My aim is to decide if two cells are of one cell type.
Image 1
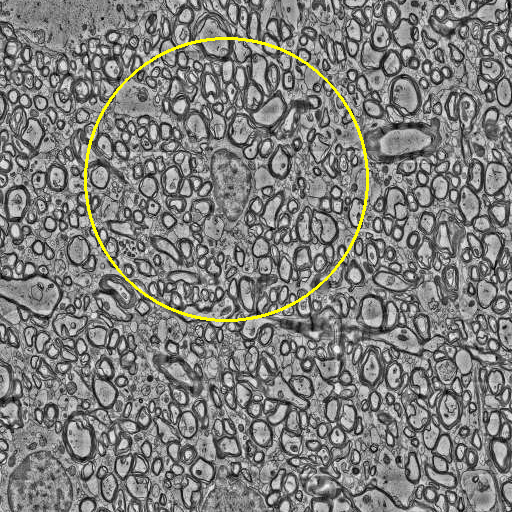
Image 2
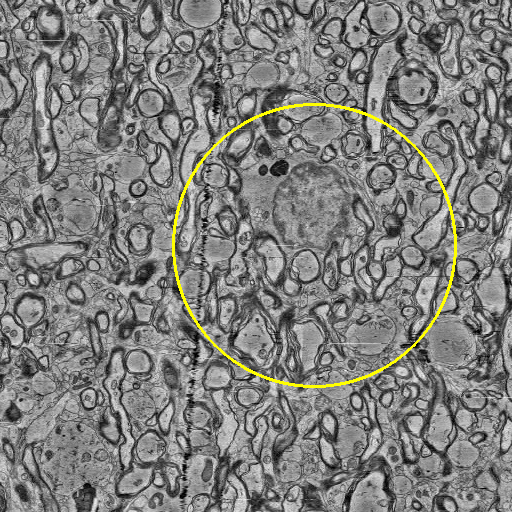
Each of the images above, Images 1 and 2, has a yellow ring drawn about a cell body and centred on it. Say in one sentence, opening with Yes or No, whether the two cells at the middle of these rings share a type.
Yes, in Images 1 and 2 the cells at the middle of the rings share one type.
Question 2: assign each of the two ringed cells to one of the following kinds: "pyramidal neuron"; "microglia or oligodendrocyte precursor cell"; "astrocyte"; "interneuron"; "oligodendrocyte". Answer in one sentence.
Each of the two cells is an oligodendrocyte.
